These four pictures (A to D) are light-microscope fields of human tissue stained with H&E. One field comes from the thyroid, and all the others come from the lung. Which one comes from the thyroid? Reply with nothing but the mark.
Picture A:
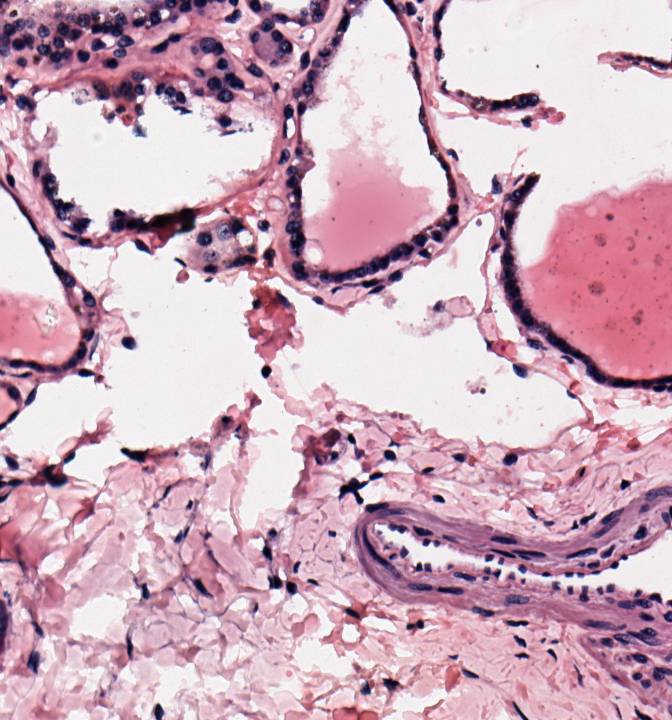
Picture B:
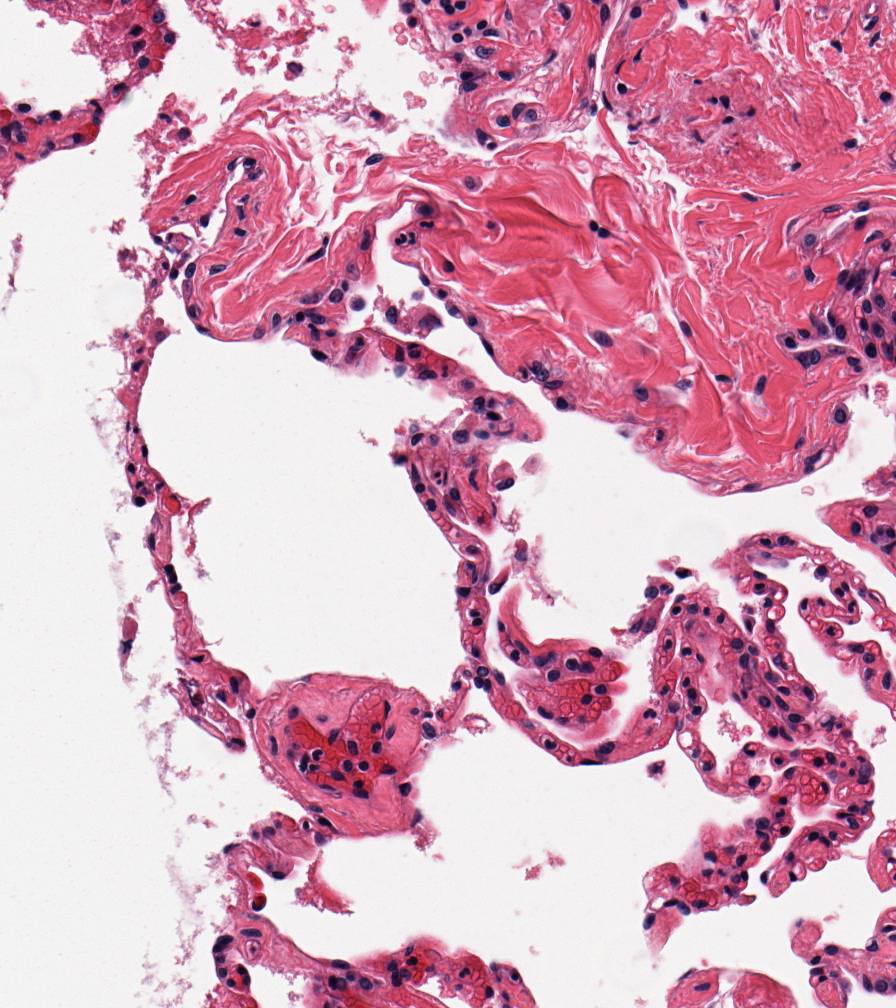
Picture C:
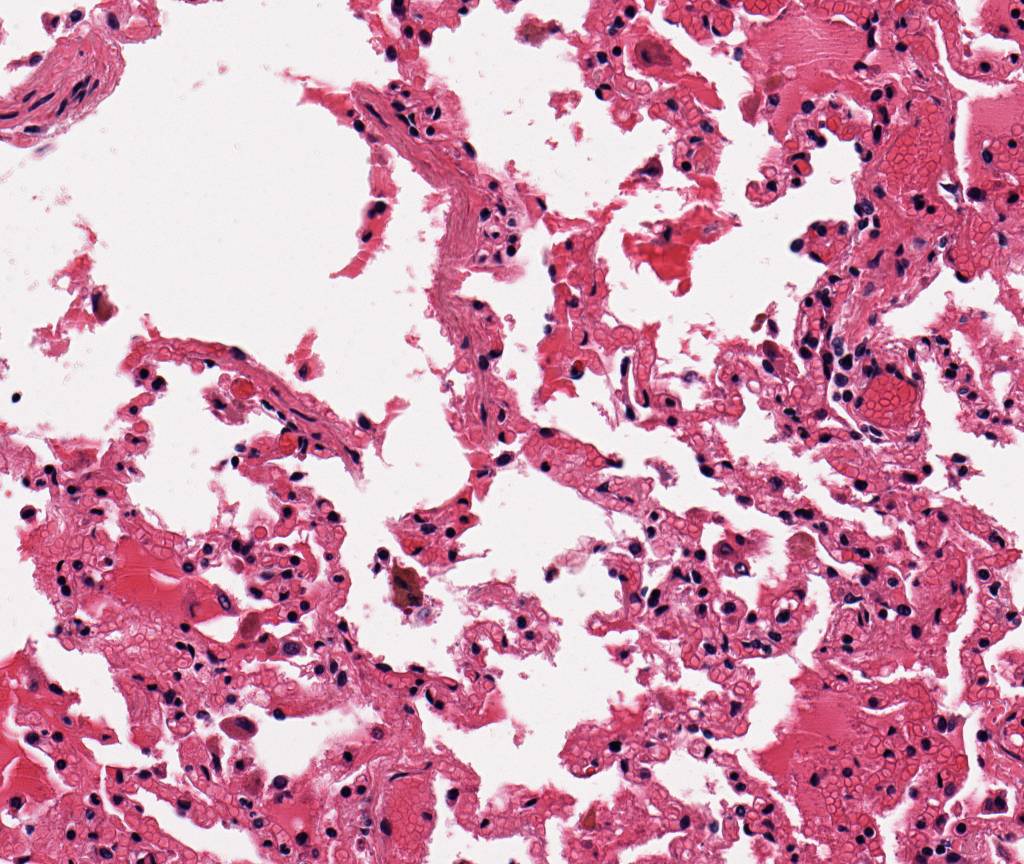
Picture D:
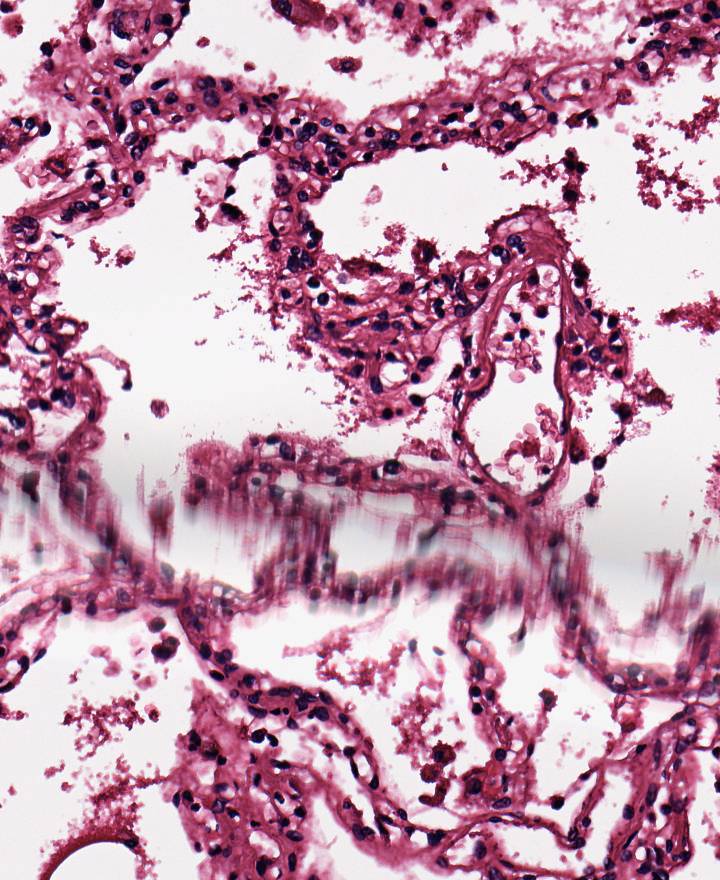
A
